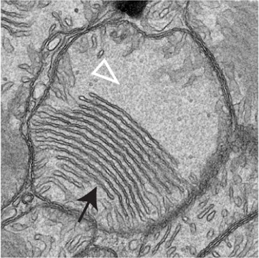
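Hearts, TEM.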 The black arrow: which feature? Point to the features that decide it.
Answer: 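Closely aligned stacked cristae. Many long parallel membranes lie tightly packed in one part of the mitochondrion. They run in a straight, ordered stack.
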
